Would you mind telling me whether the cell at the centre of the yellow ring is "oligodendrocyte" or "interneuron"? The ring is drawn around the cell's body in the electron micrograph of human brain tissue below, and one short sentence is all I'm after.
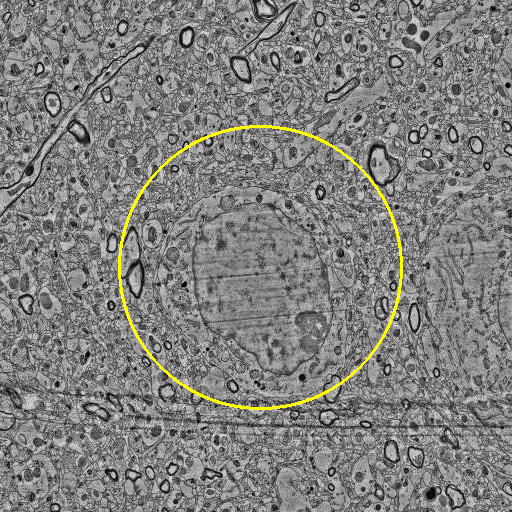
In the centre of the ring lies an interneuron.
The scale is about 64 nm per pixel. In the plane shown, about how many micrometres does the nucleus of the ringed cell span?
Roughly 11 by 9 micrometres is the size of the nucleus in this plane.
